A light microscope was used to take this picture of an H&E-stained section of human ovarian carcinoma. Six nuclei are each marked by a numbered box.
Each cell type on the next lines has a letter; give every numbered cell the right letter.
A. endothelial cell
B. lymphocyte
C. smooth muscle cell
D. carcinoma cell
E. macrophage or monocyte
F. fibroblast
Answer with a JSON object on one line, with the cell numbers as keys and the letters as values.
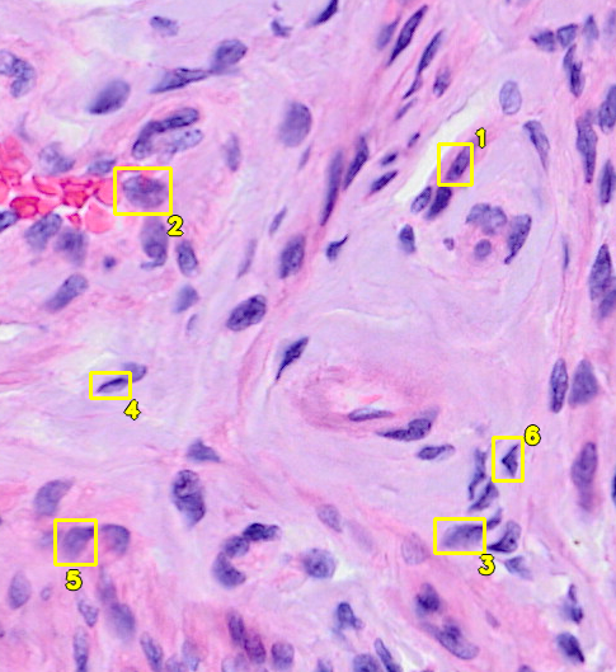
{"1": "A", "2": "A", "3": "F", "4": "F", "5": "C", "6": "F"}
